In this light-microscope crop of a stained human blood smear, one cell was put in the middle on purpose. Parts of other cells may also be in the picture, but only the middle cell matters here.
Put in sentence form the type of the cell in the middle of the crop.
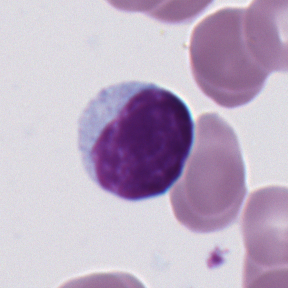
In the centre of this crop there is a lymphocyte.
